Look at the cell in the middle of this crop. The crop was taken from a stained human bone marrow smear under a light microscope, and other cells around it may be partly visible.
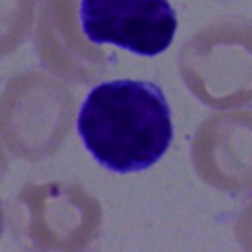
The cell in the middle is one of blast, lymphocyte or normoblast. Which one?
lymphocyte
